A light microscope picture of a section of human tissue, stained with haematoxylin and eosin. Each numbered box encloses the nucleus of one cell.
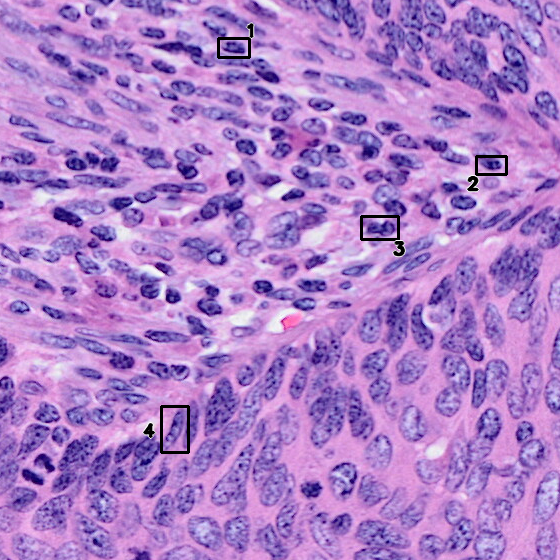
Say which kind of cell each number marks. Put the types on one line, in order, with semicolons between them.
lymphocyte; lymphocyte; lymphocyte; squamous carcinoma cell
